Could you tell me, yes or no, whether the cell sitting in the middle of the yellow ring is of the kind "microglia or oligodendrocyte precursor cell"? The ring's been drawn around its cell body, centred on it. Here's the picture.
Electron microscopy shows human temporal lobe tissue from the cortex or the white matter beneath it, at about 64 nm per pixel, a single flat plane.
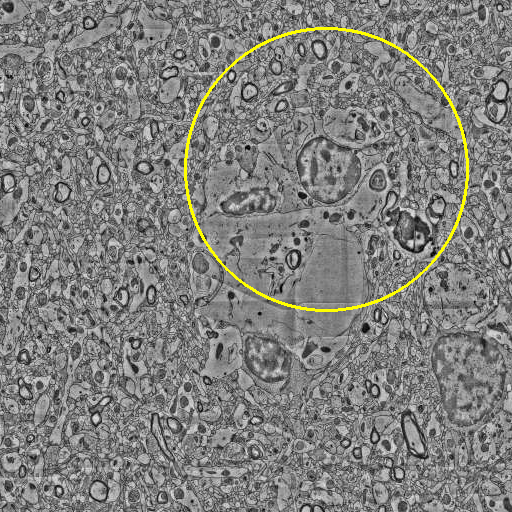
Yes, it is.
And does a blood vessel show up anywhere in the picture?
Yes, there is a blood vessel.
